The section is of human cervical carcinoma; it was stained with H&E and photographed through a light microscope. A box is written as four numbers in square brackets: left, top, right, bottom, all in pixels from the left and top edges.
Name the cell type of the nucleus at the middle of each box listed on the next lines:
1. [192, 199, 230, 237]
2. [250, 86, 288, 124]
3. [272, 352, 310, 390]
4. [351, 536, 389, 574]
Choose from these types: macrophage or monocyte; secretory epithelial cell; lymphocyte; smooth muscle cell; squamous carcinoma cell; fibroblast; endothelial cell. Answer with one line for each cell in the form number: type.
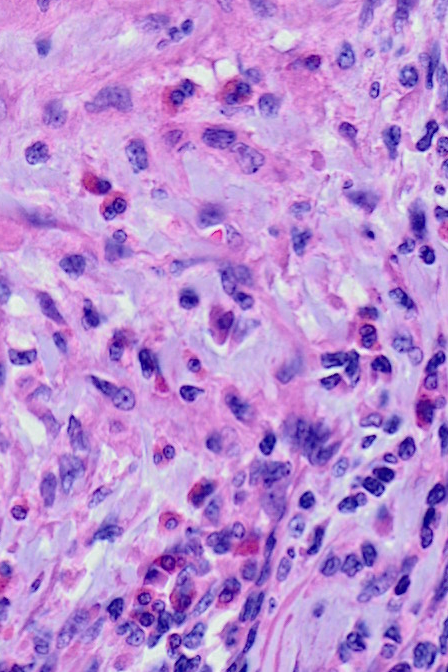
1: endothelial cell
2: macrophage or monocyte
3: endothelial cell
4: lymphocyte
